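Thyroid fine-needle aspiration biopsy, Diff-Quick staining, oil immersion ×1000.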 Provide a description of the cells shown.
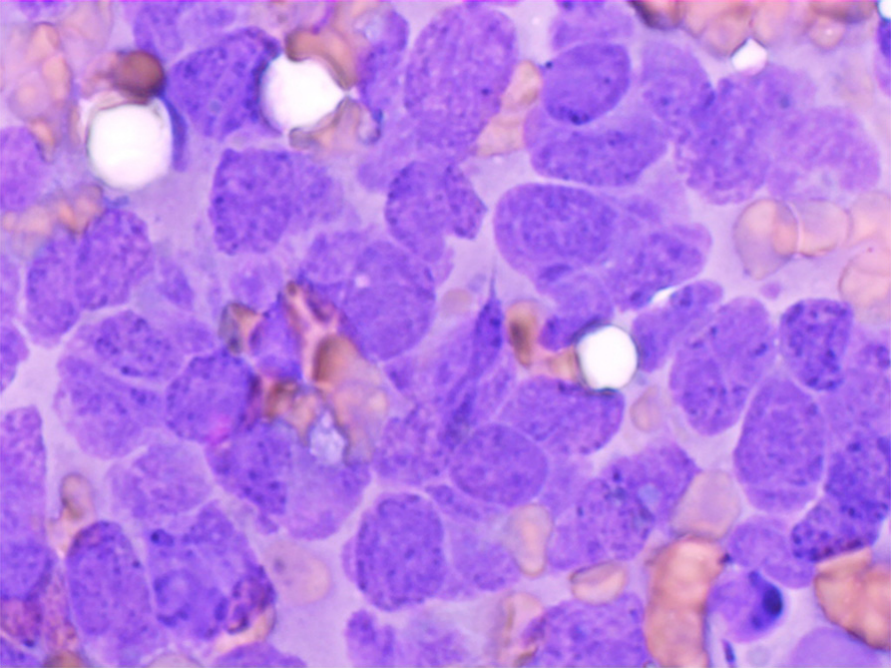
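Crowded small cell carcinoma cells fill the field, each with a dark purple nucleus that takes up nearly the whole cell and leaves only a thin rim of pale cytoplasm. The nuclei have coarse, speckled salt-and-pepper chromatin and irregular outlines, and neighbouring nuclei press against one another. Orange-brown red blood cells and a few round clear spaces lie scattered between the tumour cells.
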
